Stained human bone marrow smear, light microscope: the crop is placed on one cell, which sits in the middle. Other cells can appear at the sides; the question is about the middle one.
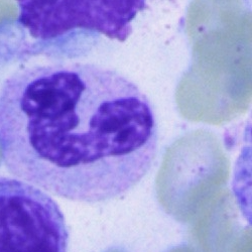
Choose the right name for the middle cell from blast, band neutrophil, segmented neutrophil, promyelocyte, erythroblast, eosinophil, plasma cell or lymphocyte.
segmented neutrophil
